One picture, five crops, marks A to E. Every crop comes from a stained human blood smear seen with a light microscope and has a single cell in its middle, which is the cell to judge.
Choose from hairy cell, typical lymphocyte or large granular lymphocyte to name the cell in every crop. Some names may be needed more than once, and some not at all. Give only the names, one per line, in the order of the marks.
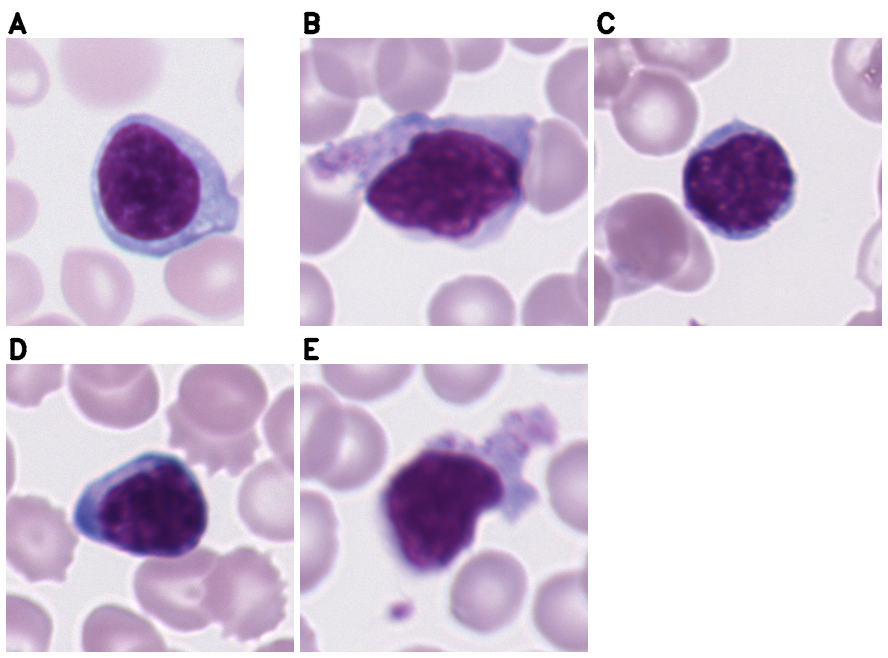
typical lymphocyte
large granular lymphocyte
typical lymphocyte
typical lymphocyte
typical lymphocyte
